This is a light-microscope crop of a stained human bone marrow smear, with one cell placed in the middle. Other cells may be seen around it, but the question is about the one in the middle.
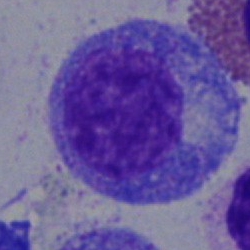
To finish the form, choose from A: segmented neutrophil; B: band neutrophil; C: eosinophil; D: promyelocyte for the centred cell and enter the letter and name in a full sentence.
The central cell, a promyelocyte, is correctly identified by option D.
